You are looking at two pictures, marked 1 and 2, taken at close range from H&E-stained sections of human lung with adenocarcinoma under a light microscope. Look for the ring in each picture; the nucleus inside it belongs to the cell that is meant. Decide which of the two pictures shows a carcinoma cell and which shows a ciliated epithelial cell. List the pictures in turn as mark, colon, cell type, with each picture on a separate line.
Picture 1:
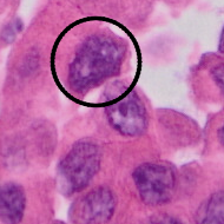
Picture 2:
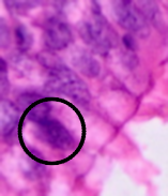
1: carcinoma cell
2: ciliated epithelial cell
